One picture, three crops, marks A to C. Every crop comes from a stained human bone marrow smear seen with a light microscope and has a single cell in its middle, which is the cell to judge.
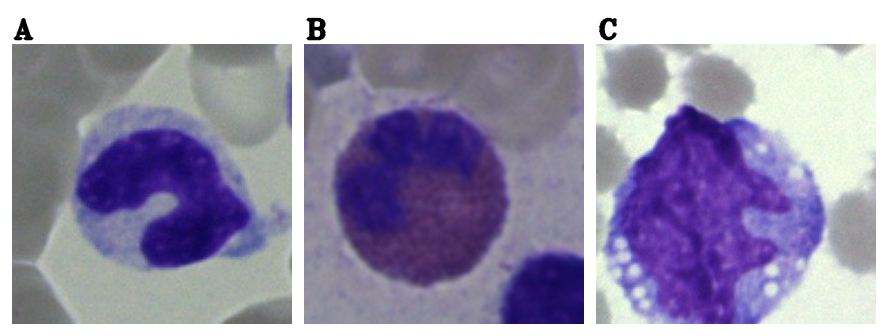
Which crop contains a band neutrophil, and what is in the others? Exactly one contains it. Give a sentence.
Crop A goes down as a band neutrophil, while crop B is an eosinophil and crop C is a monocyte.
